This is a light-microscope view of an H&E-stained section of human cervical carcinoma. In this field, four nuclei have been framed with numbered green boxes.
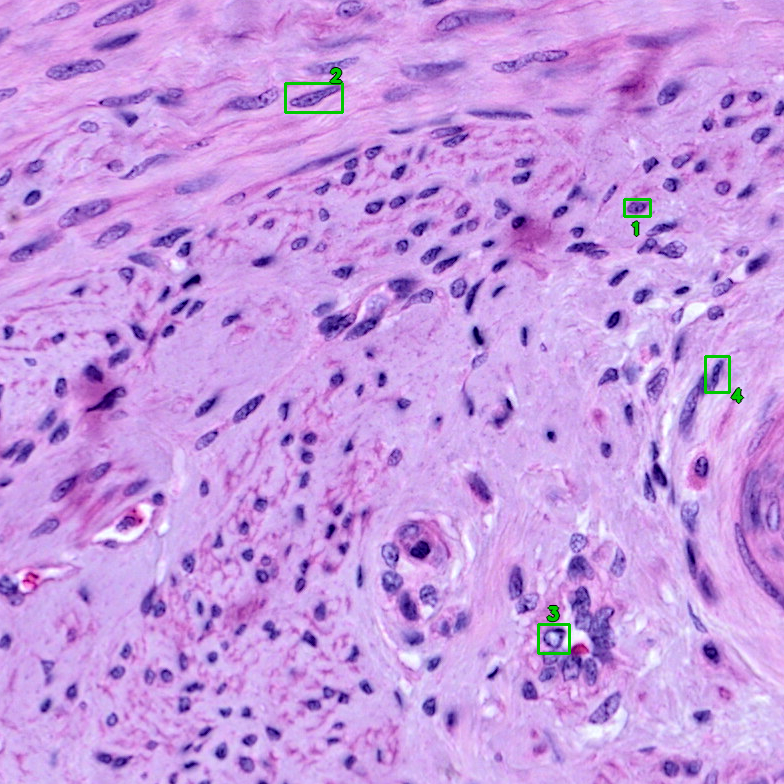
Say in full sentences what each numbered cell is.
Cells 1 and 2 are smooth muscle cells. Cell 3 is an endothelial cell. Cell 4 is a fibroblast.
